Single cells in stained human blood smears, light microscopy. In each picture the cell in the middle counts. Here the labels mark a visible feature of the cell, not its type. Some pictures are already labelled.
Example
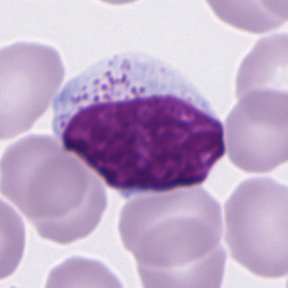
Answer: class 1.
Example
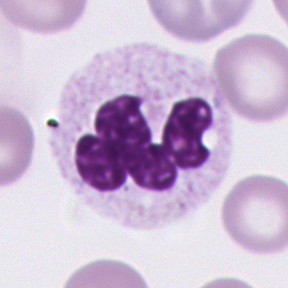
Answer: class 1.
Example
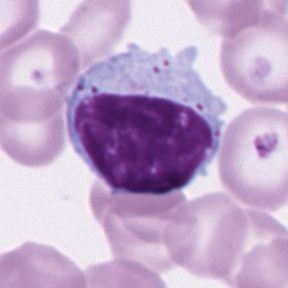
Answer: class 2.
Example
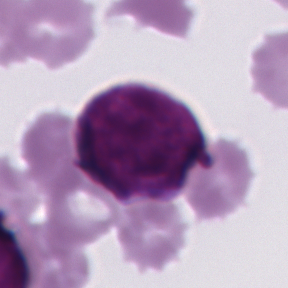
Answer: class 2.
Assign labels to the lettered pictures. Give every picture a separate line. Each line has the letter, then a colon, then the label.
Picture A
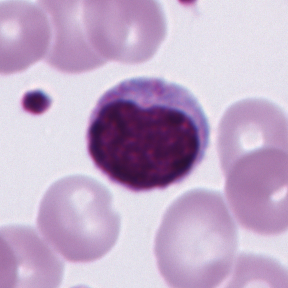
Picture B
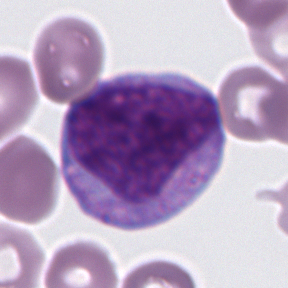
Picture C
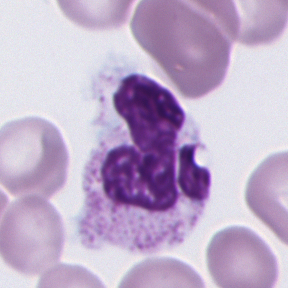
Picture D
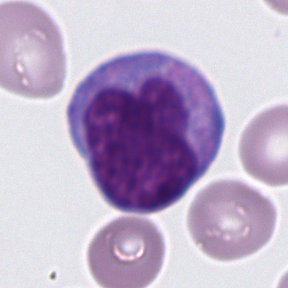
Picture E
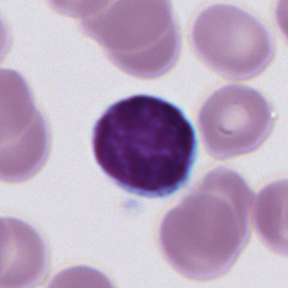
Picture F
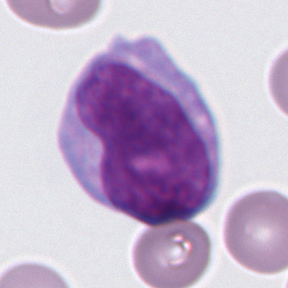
A: class 1.
B: class 1.
C: class 2.
D: class 1.
E: class 1.
F: class 2.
